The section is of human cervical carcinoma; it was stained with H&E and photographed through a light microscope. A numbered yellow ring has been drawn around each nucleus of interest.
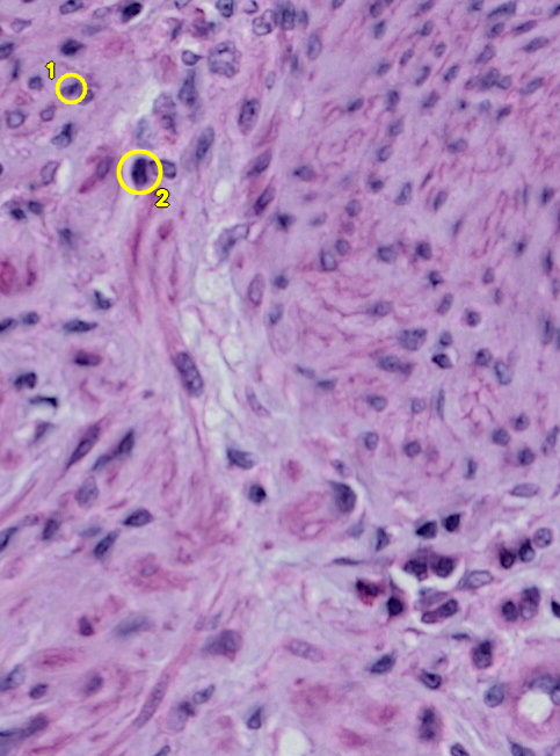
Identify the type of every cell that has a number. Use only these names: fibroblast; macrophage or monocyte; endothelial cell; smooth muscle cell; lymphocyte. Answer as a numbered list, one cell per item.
1. fibroblast
2. lymphocyte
